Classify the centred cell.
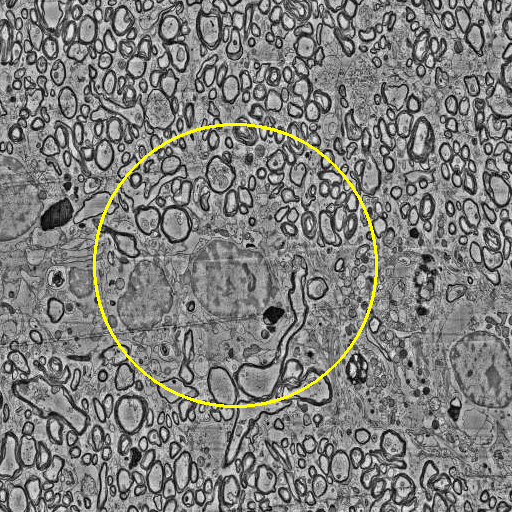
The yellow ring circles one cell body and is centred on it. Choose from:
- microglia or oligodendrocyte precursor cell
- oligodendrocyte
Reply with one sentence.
The ring is centred on an oligodendrocyte.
